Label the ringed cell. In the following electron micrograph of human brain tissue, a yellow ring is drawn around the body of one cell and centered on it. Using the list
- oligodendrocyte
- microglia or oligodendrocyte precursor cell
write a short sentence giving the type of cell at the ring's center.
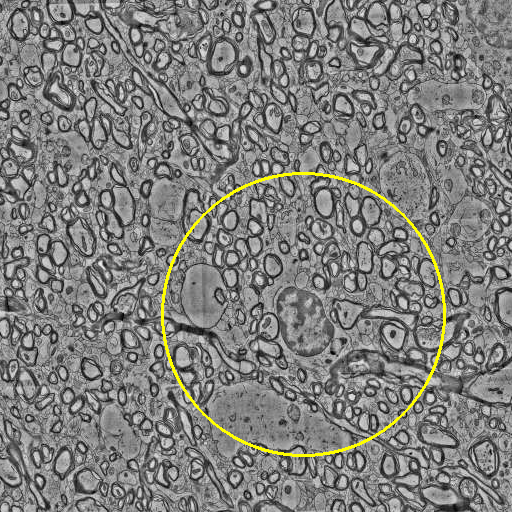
The cell body at the ring's center is that of a microglial cell or oligodendrocyte precursor cell.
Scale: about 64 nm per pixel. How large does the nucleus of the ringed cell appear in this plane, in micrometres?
Approximately 4 x 3 micrometres in this plane.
